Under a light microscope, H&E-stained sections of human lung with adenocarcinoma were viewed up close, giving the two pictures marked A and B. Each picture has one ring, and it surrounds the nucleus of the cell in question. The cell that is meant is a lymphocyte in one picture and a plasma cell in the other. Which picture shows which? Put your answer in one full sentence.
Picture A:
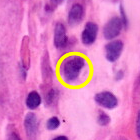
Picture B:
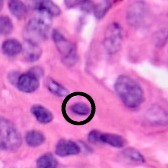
The cell in picture A is a plasma cell, and the one in picture B is a lymphocyte.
